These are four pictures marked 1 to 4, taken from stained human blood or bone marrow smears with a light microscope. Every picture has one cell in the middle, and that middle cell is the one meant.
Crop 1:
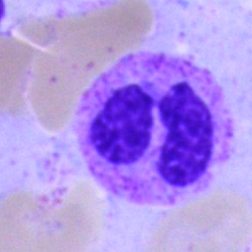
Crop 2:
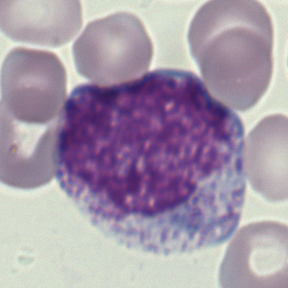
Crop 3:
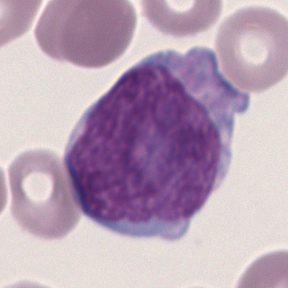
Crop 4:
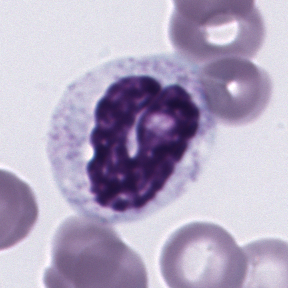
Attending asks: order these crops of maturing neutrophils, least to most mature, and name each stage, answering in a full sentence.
In ascending order of maturity, the sequence is crop 3 (a promyelocyte), crop 2 (a myelocyte), crop 4 (a band neutrophil) and crop 1 (a segmented neutrophil).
